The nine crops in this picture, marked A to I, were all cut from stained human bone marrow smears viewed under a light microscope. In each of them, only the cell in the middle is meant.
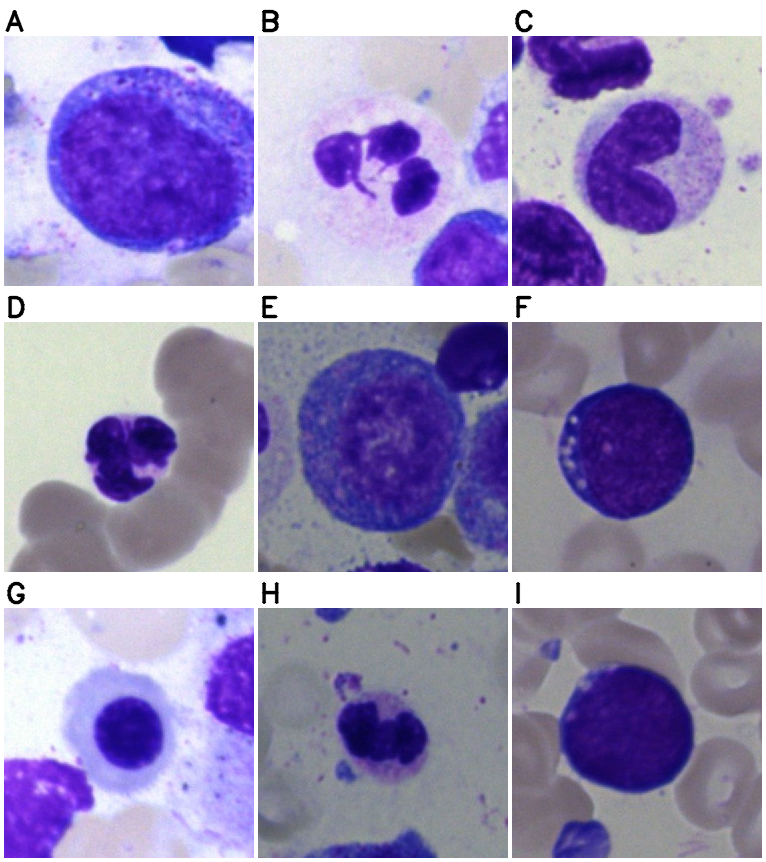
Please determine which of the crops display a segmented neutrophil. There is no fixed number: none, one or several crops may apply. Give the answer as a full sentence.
The target cells in crops B, D and H are segmented neutrophils.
